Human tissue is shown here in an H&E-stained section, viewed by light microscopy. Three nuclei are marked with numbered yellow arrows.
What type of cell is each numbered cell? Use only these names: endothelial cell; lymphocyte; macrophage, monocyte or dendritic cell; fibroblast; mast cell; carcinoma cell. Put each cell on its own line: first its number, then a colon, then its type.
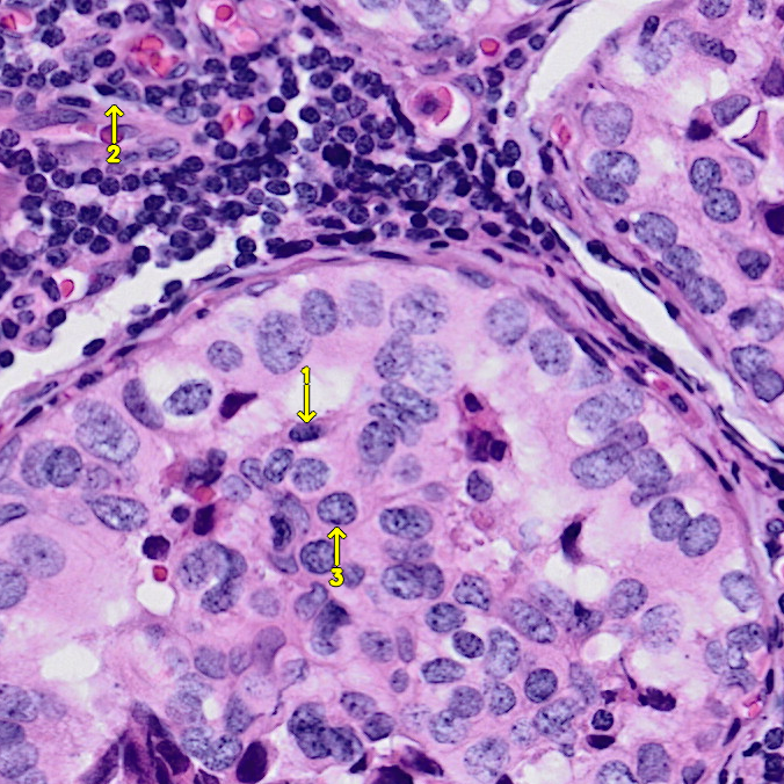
1: carcinoma cell
2: lymphocyte
3: carcinoma cell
